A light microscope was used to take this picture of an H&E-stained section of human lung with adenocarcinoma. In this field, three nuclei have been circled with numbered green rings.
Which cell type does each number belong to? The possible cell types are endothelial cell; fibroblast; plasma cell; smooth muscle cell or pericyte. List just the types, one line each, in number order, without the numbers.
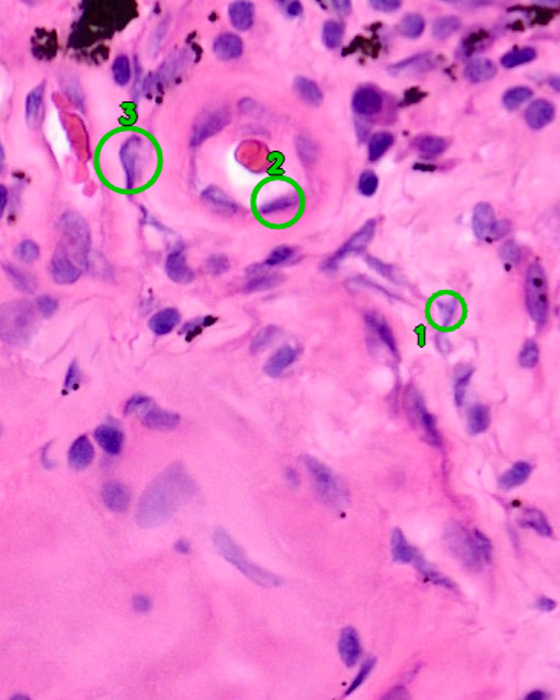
fibroblast
endothelial cell
fibroblast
